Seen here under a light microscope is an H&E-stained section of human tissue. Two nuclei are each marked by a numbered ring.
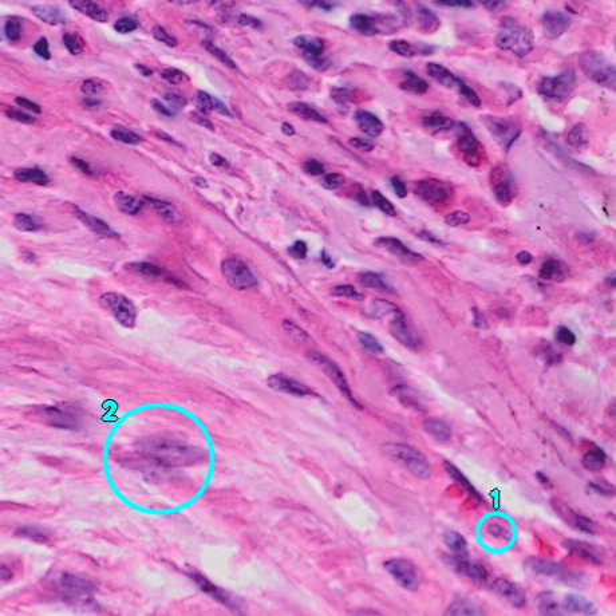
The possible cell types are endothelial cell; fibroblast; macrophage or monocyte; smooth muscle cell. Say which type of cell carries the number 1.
endothelial cell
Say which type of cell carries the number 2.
fibroblast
